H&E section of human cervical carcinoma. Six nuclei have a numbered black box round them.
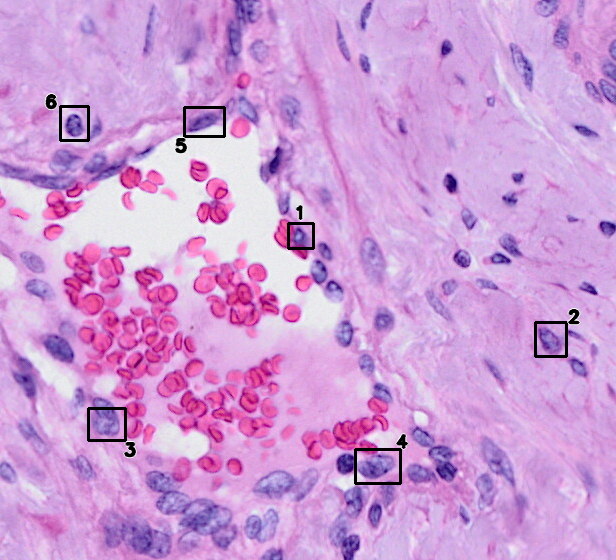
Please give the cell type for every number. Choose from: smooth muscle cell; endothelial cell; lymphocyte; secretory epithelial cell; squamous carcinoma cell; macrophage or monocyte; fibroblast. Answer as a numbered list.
1. endothelial cell
2. smooth muscle cell
3. endothelial cell
4. endothelial cell
5. endothelial cell
6. lymphocyte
